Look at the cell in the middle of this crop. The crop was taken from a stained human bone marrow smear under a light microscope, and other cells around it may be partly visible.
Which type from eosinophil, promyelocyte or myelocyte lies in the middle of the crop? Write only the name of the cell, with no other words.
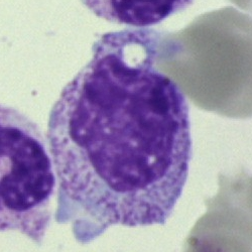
myelocyte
